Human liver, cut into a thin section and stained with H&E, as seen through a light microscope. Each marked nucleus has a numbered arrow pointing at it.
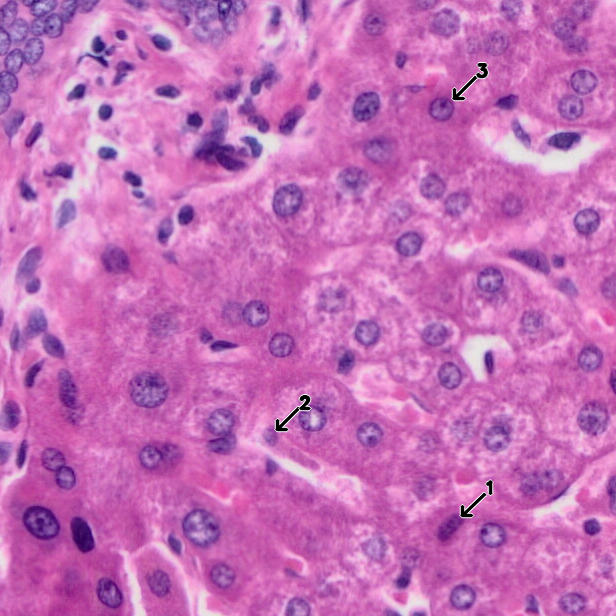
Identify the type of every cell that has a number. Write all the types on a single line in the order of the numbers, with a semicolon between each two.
fibroblast or stellate cell; Kupffer cell; hepatocyte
